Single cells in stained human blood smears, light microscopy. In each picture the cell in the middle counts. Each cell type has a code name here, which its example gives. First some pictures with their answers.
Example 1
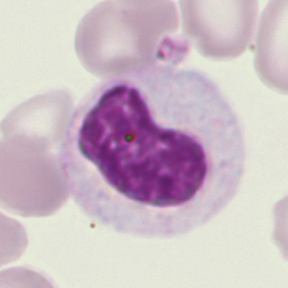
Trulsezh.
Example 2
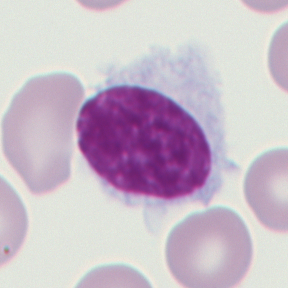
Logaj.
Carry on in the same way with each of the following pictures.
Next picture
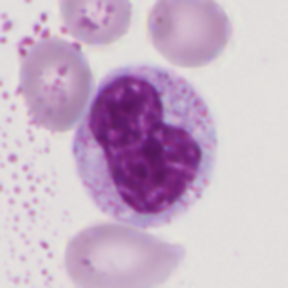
Trulsezh.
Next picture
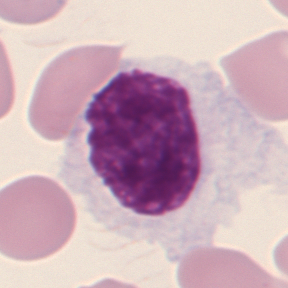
Logaj.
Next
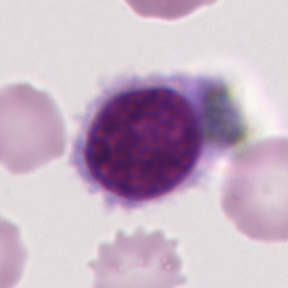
Logaj.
